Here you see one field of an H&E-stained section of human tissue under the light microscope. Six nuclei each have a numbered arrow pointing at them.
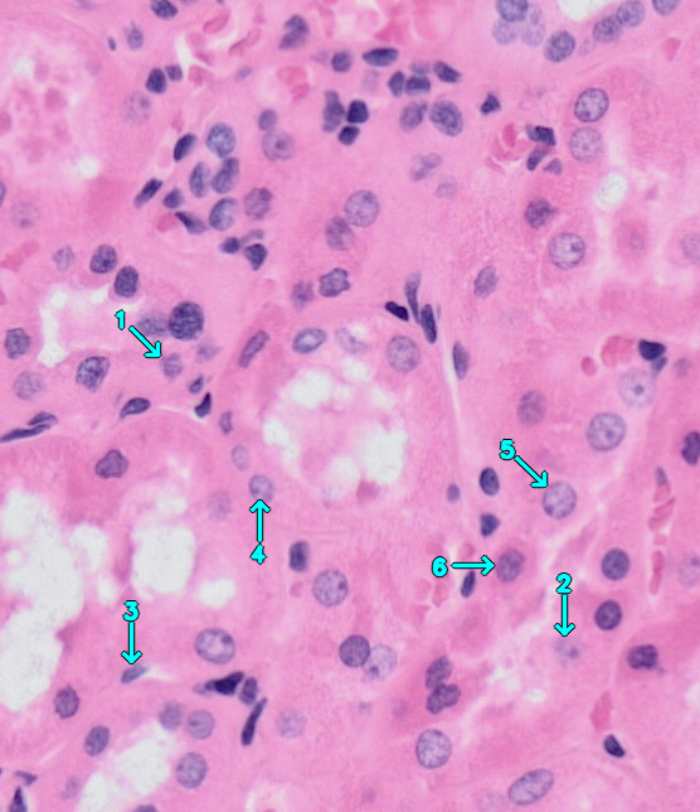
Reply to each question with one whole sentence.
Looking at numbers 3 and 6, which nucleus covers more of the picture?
Nucleus 6 covers more area, about 2 times as much as nucleus 3.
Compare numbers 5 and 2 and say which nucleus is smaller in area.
Nucleus 2 covers less area, with nucleus 5 about 1.5 times as large.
